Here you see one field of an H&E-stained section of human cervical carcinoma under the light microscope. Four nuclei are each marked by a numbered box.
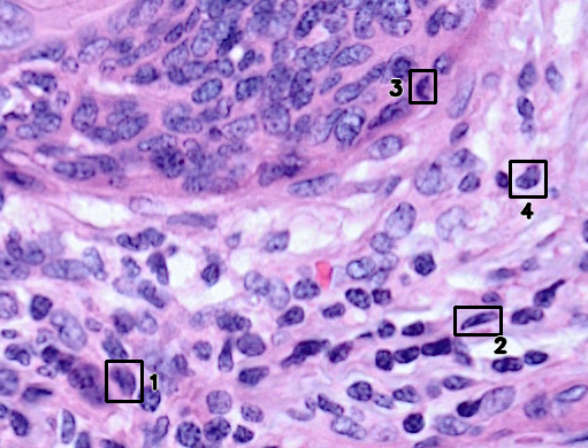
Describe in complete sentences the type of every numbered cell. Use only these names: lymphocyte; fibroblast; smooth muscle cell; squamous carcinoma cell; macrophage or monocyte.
Cells 1, 2 and 4 are lymphocytes. Cell 3 is a squamous carcinoma cell.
